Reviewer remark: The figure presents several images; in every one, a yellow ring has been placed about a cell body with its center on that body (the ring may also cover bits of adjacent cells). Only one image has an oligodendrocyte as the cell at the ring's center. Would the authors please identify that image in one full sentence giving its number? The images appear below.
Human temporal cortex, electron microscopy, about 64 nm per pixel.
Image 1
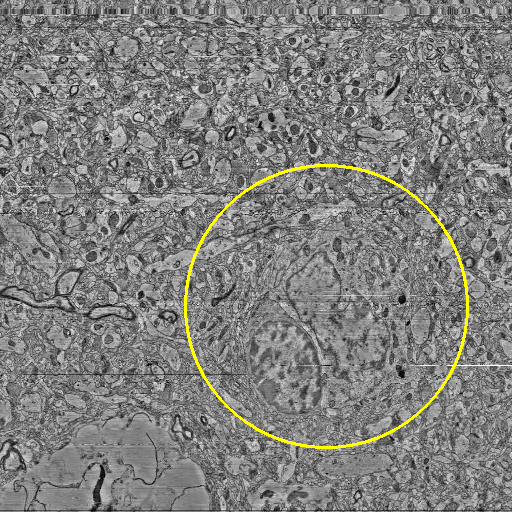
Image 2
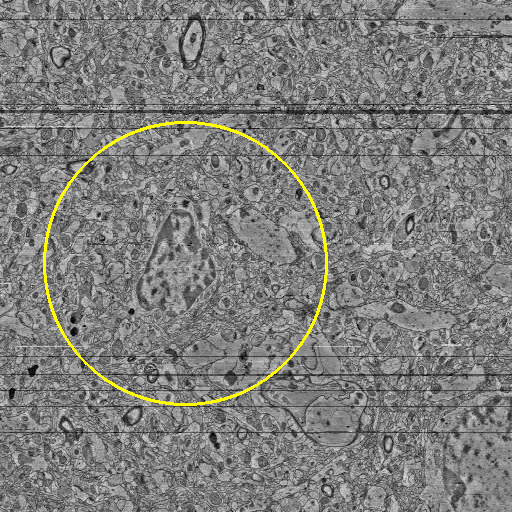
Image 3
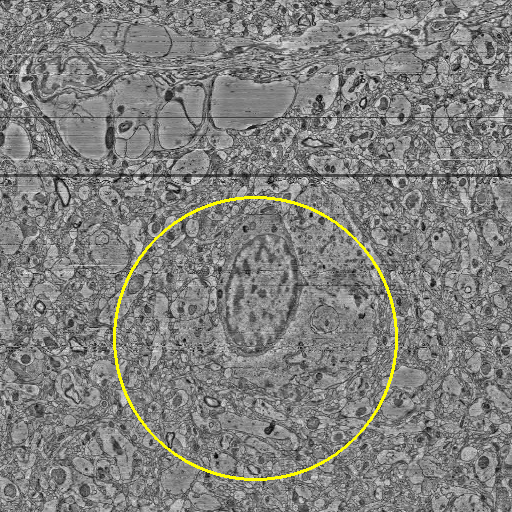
The ring's central cell in image 3 is the one the question describes.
